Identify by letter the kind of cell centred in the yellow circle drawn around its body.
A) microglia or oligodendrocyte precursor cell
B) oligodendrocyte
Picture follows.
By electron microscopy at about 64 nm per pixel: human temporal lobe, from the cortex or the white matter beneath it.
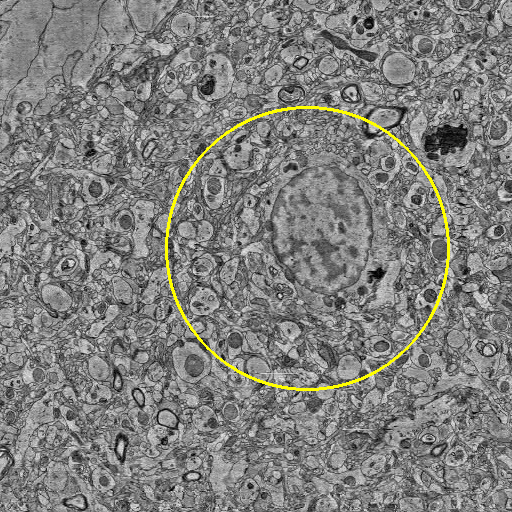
B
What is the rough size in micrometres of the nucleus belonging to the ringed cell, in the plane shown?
In this plane the nucleus measures roughly 9 by 7 micrometres.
